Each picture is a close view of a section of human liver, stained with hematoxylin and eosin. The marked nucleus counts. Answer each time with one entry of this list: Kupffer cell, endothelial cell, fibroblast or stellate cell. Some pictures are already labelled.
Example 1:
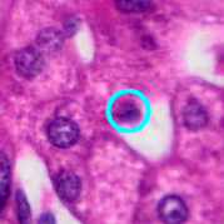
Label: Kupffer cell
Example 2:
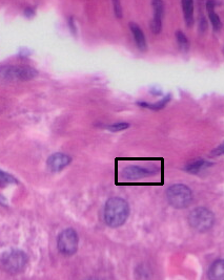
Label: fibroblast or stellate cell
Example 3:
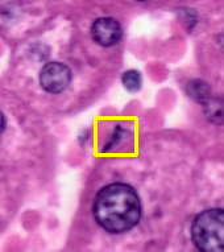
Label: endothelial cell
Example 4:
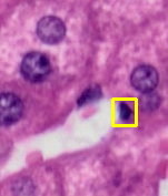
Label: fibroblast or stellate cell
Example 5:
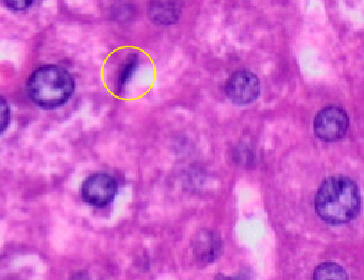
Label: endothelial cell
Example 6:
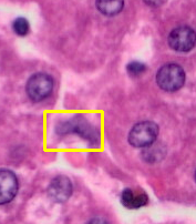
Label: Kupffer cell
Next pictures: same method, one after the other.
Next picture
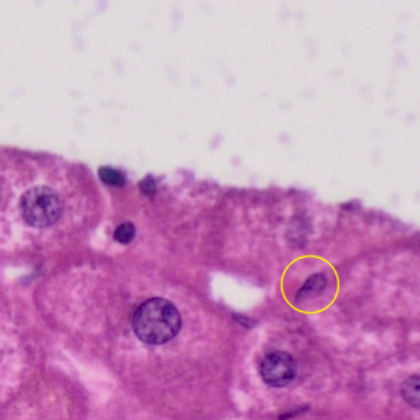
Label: endothelial cell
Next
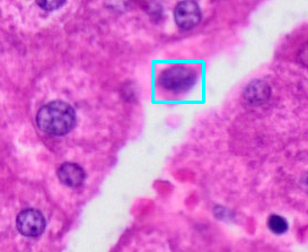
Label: Kupffer cell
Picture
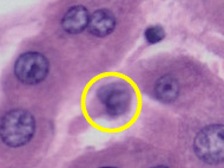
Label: Kupffer cell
